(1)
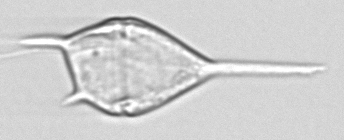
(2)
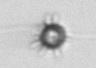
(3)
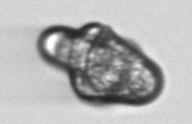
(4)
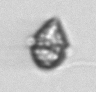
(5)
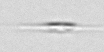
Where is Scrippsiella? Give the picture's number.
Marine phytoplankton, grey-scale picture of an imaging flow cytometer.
4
